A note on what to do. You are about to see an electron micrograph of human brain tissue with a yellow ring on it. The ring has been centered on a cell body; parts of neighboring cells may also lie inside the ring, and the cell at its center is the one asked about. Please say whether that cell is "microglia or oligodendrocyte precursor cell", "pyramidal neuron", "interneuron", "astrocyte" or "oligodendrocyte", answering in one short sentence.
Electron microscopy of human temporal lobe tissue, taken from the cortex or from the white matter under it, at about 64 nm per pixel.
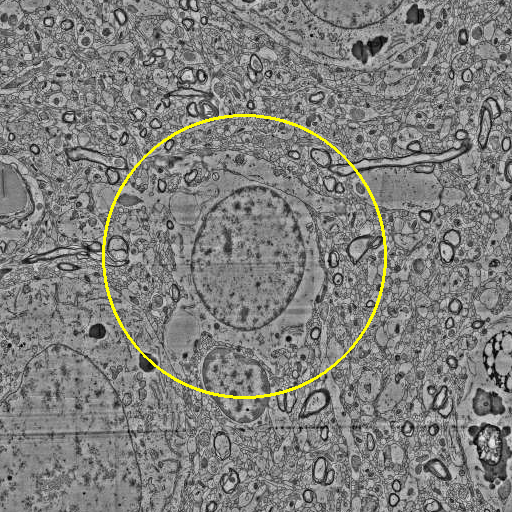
The yellow ring sits on an astrocyte.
